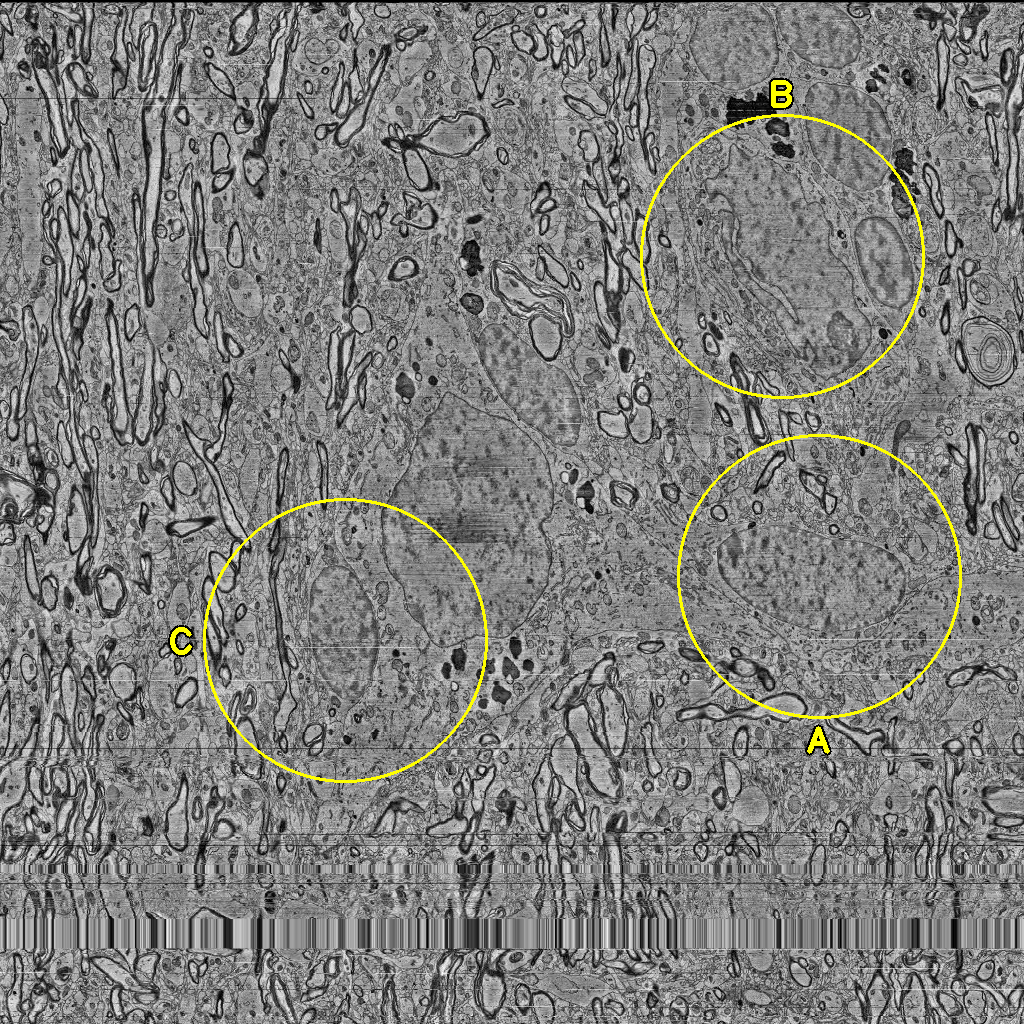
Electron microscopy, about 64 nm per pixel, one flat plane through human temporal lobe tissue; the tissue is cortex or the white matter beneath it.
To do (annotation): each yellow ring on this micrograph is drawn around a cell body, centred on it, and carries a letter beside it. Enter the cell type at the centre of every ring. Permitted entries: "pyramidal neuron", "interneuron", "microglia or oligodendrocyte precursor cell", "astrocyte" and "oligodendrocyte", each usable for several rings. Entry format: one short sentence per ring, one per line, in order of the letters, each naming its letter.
Ring A: the cell at its centre is a microglial cell or oligodendrocyte precursor cell.
Ring B: the cell at its centre is an interneuron.
Ring C: the cell at its centre is an oligodendrocyte.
